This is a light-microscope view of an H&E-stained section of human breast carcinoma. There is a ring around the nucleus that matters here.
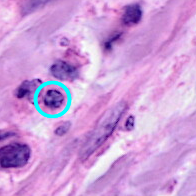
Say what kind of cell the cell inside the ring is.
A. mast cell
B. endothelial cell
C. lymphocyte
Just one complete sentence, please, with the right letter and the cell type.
It is correct to say that the cell inside the ring is a mast cell, as option A does.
